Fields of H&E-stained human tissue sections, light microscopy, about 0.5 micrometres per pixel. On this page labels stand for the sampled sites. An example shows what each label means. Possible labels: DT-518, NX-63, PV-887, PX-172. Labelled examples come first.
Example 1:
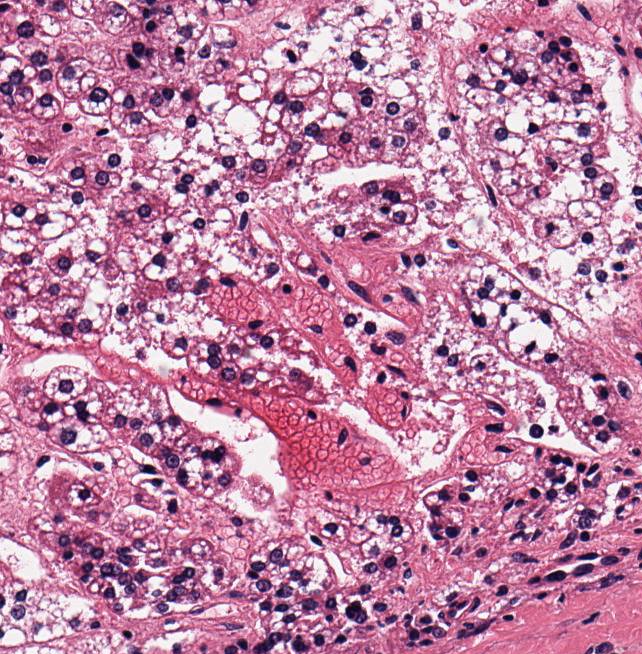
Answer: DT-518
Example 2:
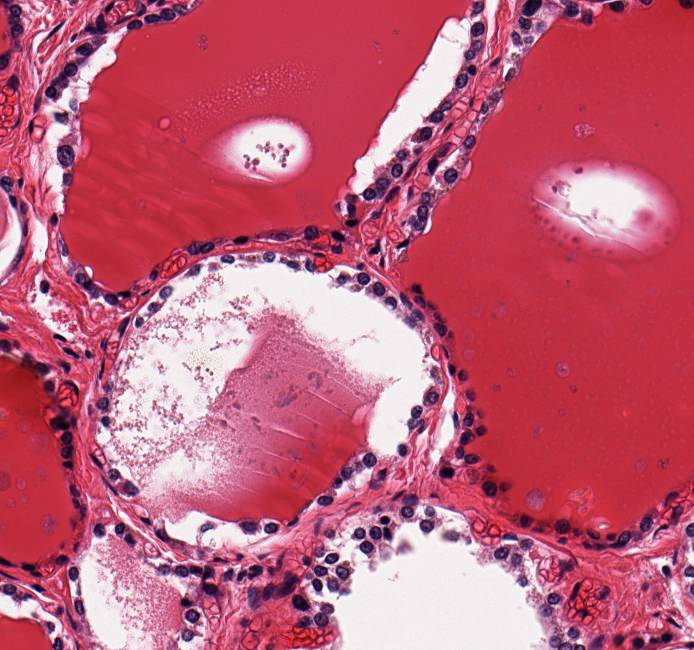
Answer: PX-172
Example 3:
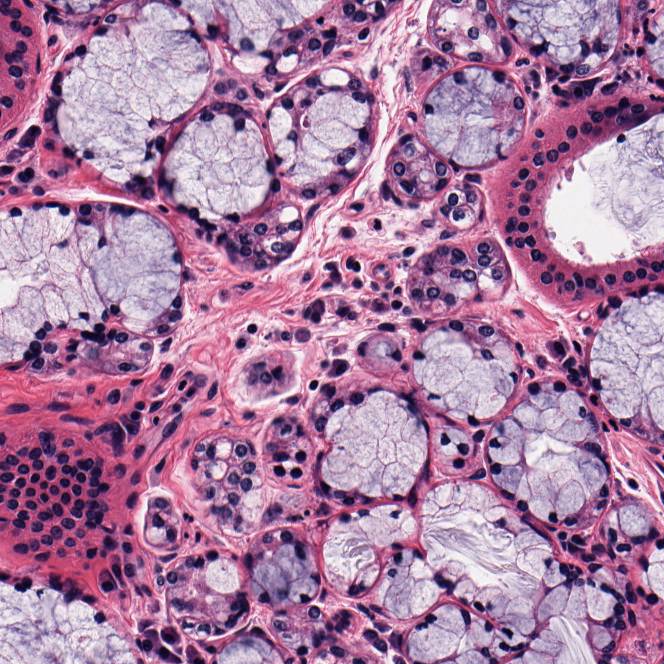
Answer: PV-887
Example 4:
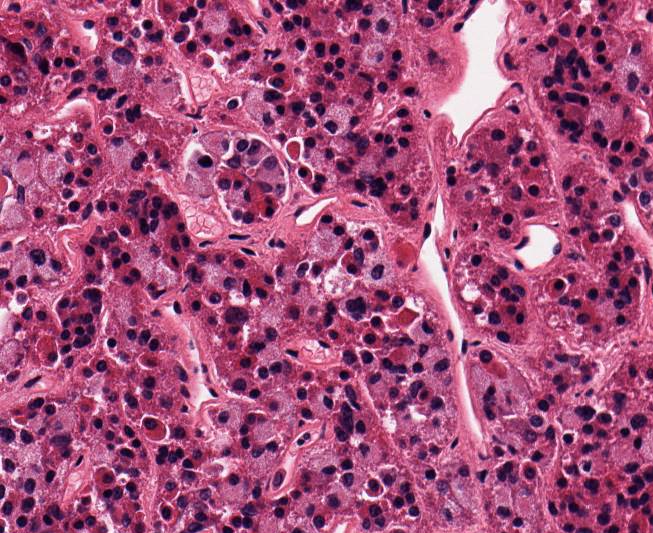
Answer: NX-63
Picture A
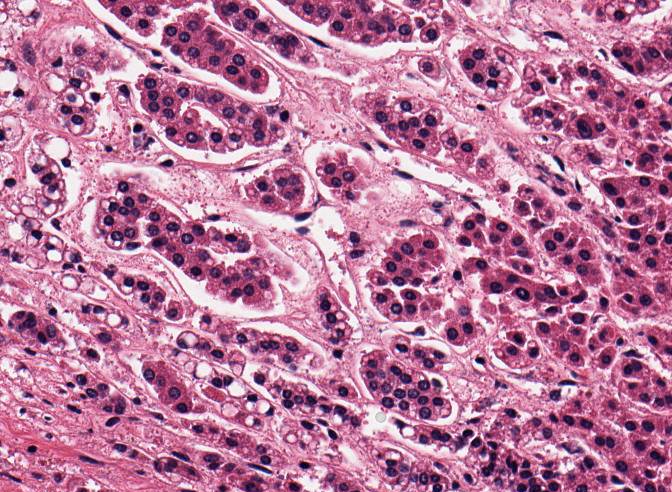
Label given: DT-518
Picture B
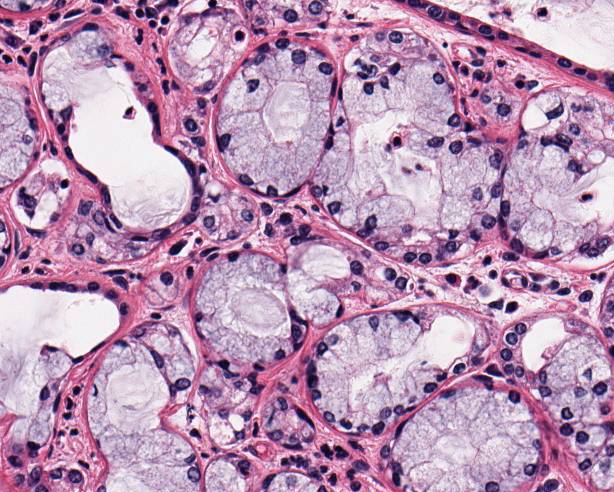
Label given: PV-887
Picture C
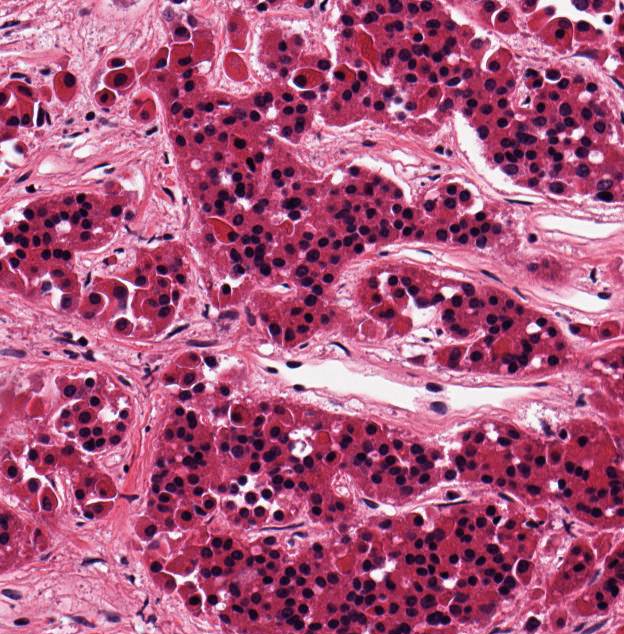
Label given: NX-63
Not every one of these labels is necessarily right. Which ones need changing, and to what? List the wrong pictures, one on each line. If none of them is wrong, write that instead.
None of the labels needs changing.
